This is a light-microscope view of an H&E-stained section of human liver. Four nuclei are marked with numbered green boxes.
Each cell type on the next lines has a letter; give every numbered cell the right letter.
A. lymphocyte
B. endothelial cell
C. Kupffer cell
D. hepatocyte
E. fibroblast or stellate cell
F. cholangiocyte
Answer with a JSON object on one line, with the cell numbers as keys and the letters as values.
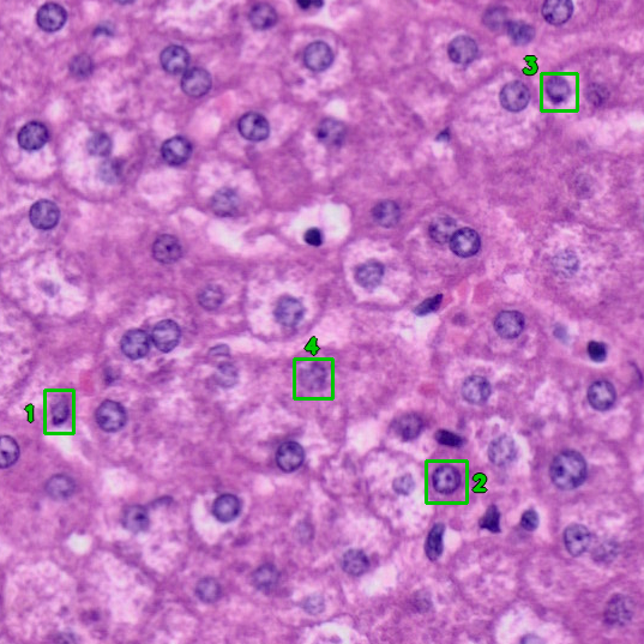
{"1": "C", "2": "D", "3": "D", "4": "D"}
